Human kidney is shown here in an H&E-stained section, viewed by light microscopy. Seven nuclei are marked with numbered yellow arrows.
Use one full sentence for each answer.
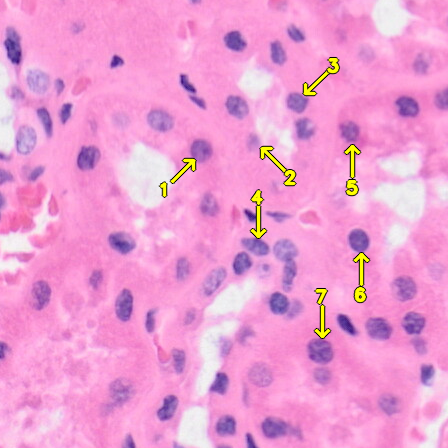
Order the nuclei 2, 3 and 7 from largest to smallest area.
Going from the biggest nucleus down to the smallest gives 7, 3, 2.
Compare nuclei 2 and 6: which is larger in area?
Of the two, number 6 is bigger and takes up about 2 times the area of number 2.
